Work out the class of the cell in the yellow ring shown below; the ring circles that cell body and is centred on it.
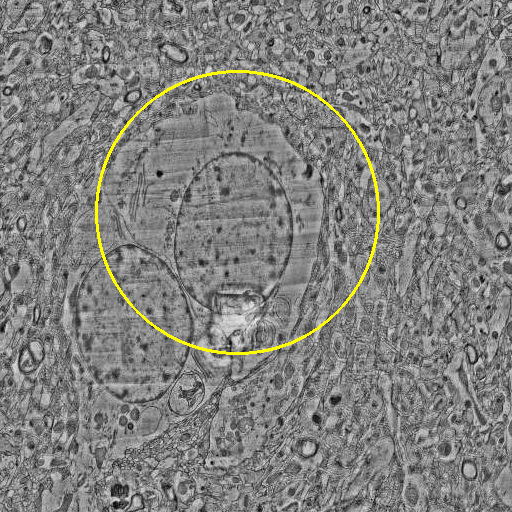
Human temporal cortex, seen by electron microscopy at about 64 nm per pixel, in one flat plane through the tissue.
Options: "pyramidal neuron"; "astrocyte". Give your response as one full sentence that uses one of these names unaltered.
The body ringed in yellow, right at the ring's centre, is that of an astrocyte.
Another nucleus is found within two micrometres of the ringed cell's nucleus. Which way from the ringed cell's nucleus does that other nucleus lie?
The second nucleus is to the lower left of it.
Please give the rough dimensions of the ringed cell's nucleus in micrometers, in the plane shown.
In this plane, the nucleus of the cell at the centre of the ring measures about 10 by 8 micrometres.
